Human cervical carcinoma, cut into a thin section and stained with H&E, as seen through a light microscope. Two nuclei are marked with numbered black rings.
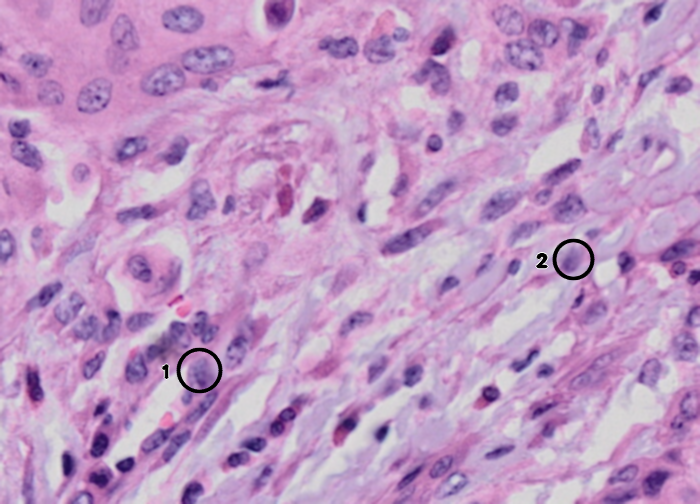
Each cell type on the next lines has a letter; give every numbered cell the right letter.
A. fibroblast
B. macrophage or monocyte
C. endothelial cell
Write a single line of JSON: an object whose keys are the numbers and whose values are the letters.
{"1": "C", "2": "A"}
